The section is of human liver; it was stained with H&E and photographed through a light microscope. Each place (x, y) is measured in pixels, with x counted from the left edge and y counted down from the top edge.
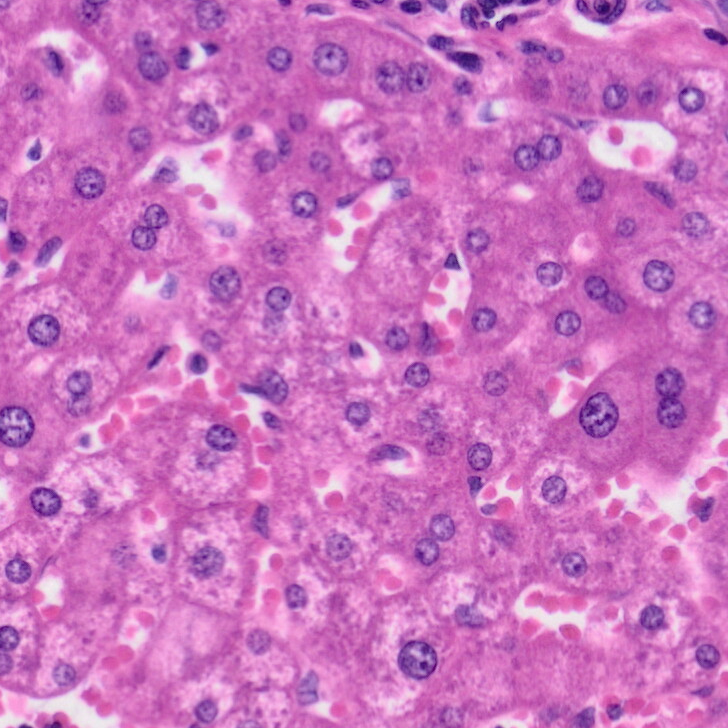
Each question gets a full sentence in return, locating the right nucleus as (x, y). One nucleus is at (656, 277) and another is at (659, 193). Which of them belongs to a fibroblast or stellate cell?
It is the nucleus at (659, 193) that forms part of a fibroblast or stellate cell.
